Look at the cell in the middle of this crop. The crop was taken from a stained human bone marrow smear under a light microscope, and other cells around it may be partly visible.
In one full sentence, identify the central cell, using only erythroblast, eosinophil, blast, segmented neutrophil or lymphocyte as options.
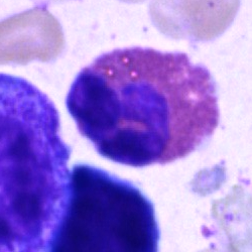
In the central position of this crop, the cell is an eosinophil.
